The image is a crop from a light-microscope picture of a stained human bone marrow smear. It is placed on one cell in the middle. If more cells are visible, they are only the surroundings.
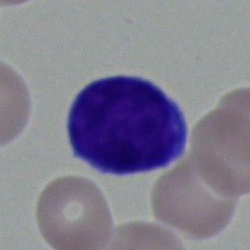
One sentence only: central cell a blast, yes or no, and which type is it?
No, the cell centered in the crop is a lymphocyte, not a blast.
